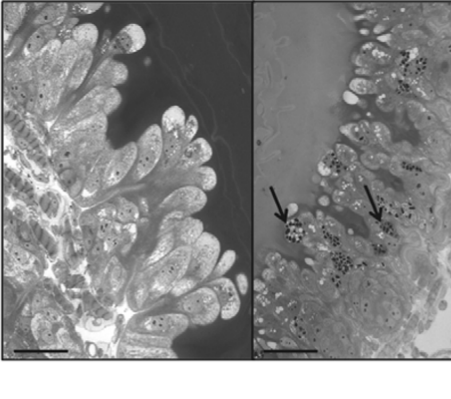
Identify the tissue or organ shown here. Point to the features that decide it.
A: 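Midgut epithelium. The cells form finger-like folds with rounded tips bulging toward the lumen.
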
